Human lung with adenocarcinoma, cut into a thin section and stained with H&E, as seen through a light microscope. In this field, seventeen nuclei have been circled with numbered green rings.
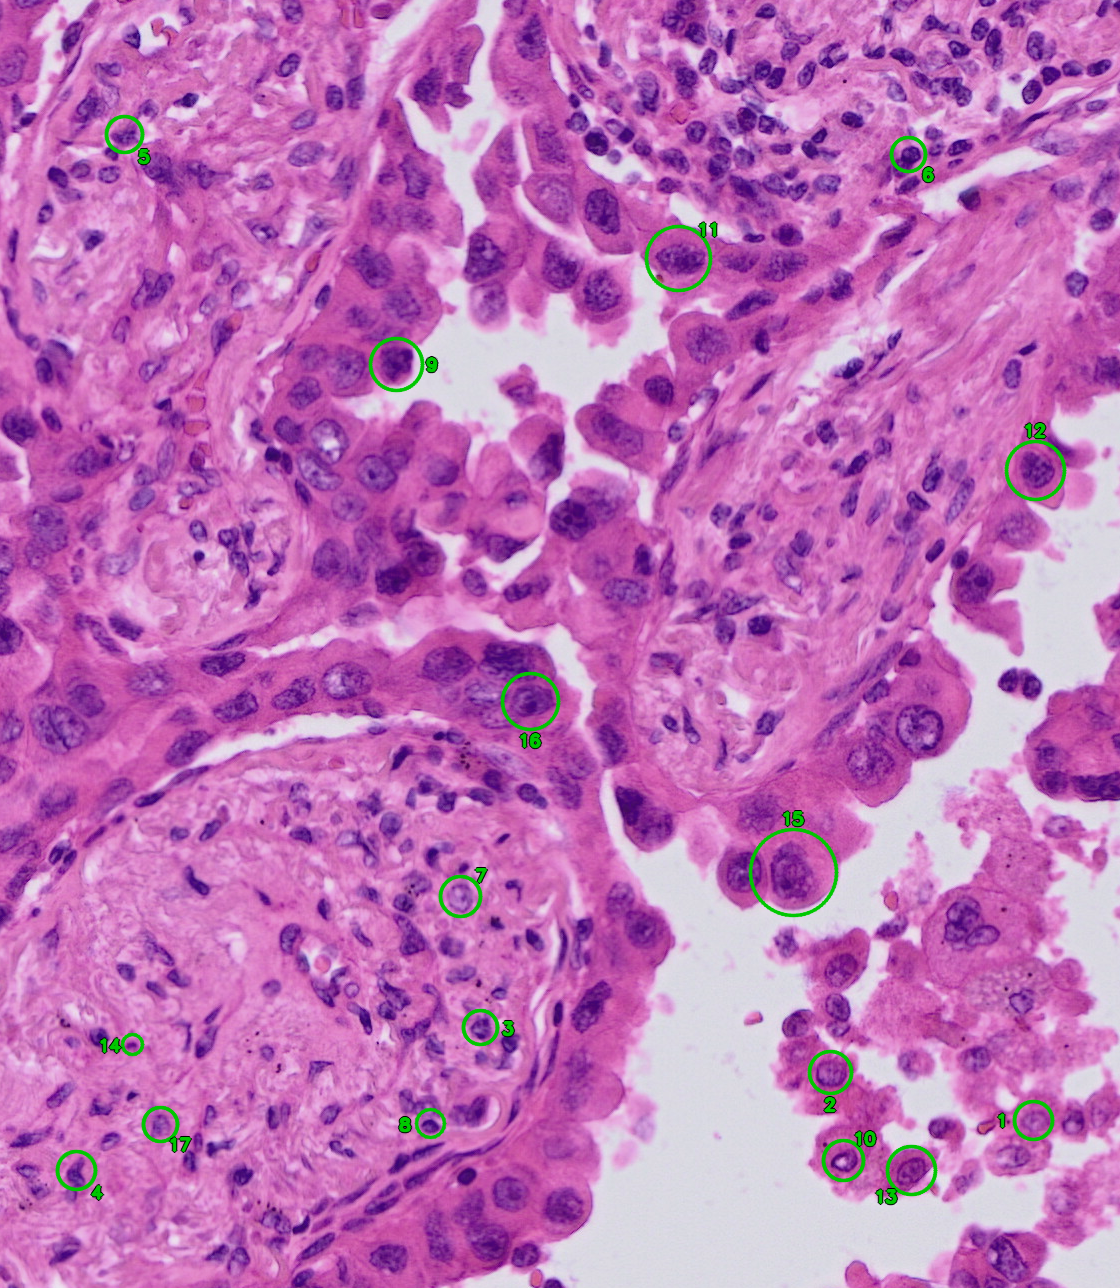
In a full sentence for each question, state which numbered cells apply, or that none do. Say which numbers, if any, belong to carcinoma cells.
Identification: the cells with numbers 9, 11, 12, 15 and 16 are carcinoma cells.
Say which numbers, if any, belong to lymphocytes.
Classified as lymphocytes are the cells numbered 6 and 8.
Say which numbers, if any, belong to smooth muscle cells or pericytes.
The cells with the number labels 4, 14 and 17 are smooth muscle cells or pericytes.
